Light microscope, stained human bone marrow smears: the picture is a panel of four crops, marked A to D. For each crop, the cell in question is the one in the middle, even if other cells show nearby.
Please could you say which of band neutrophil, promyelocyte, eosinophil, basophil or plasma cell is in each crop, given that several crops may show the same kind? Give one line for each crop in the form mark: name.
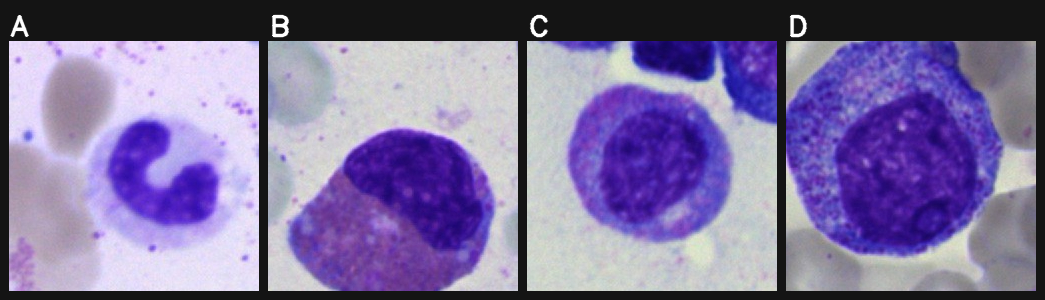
A: band neutrophil
B: eosinophil
C: promyelocyte
D: promyelocyte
